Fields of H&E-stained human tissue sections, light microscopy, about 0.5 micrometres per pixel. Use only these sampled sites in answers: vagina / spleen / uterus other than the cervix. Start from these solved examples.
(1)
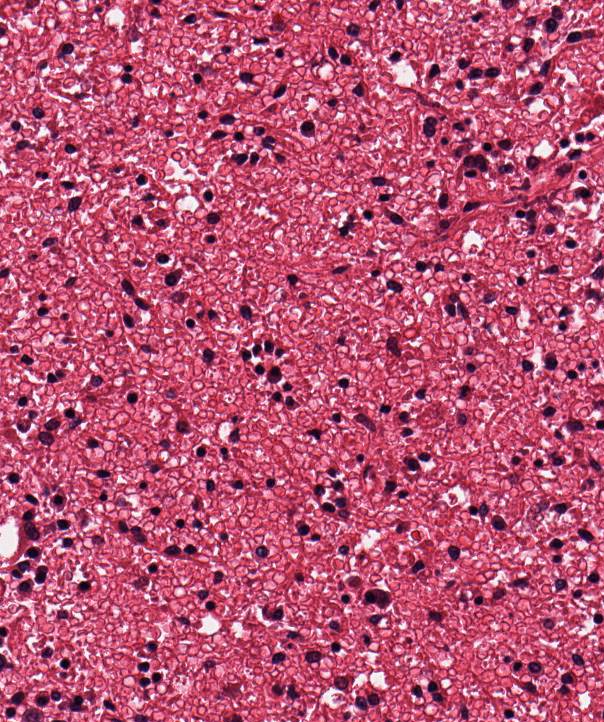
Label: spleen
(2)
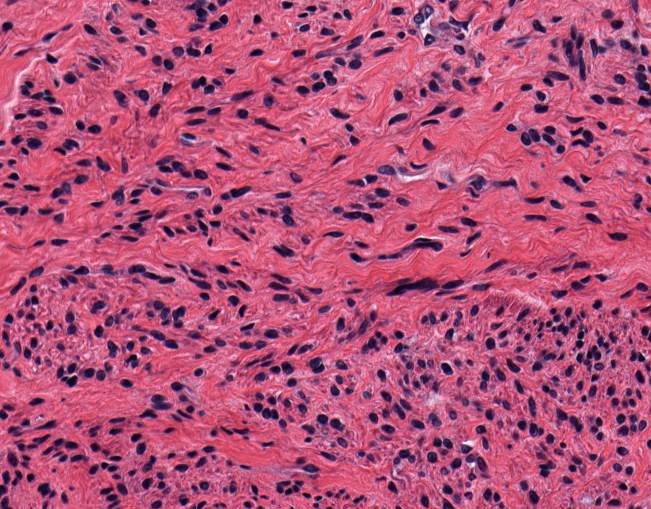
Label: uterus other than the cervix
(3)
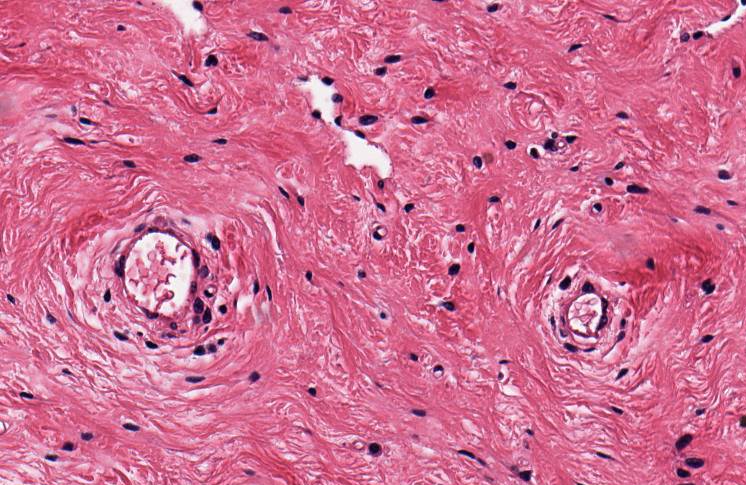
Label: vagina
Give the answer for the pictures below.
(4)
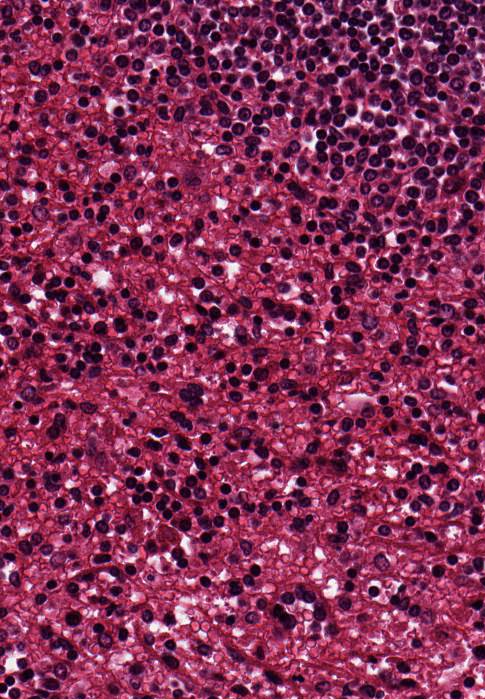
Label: spleen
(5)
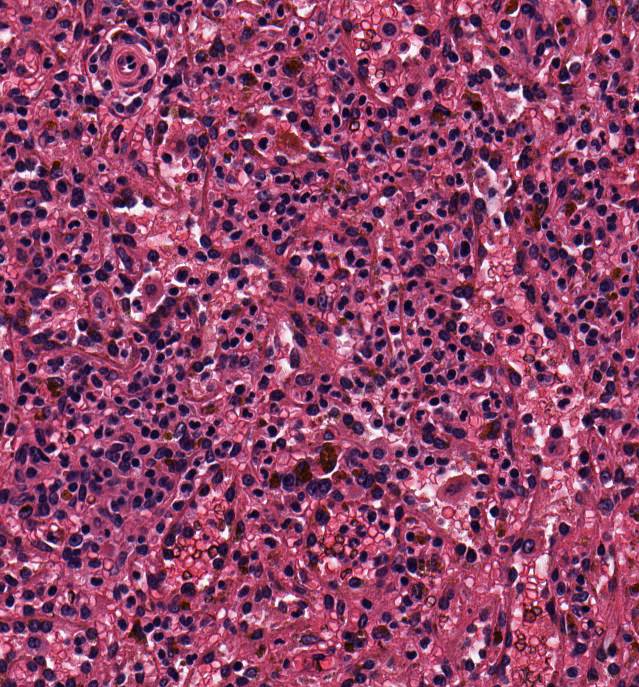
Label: spleen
